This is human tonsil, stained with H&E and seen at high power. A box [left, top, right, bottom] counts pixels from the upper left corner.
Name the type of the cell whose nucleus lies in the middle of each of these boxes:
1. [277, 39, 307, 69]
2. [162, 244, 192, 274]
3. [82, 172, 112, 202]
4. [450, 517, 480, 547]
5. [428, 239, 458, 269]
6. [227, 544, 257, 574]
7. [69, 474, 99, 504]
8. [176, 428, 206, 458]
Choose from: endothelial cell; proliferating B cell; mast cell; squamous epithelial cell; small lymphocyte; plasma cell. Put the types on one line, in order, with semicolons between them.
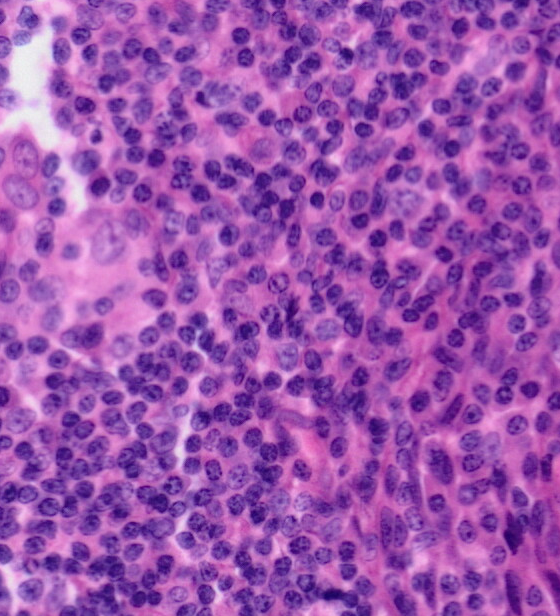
small lymphocyte; plasma cell; plasma cell; plasma cell; plasma cell; small lymphocyte; small lymphocyte; small lymphocyte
